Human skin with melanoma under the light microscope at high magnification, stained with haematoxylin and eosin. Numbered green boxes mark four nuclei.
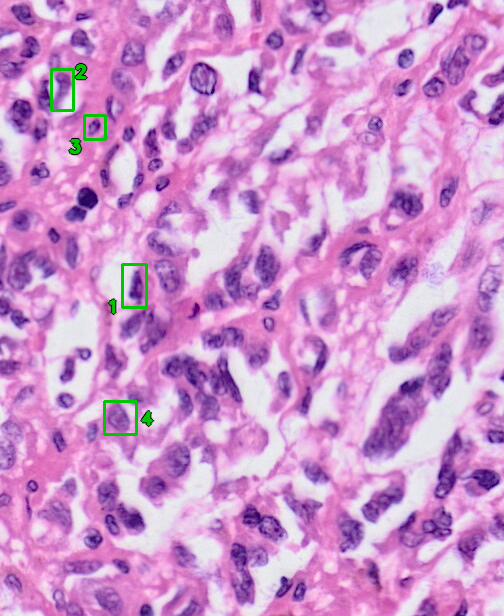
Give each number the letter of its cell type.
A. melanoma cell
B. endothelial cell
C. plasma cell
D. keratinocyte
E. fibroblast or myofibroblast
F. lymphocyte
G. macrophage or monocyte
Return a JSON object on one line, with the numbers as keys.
{"1": "A", "2": "A", "3": "F", "4": "A"}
